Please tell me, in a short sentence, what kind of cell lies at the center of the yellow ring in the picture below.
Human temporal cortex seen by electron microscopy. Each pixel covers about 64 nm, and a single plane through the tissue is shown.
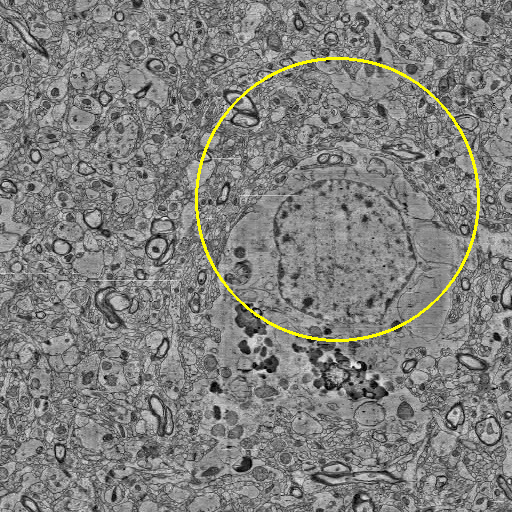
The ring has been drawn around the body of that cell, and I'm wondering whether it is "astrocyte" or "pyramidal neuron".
The cell at the center of the ring is an astrocyte.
